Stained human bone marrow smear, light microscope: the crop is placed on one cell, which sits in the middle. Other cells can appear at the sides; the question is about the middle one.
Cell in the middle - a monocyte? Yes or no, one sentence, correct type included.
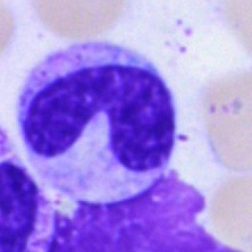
No, the middle cell is classified as a band neutrophil and not as a monocyte.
